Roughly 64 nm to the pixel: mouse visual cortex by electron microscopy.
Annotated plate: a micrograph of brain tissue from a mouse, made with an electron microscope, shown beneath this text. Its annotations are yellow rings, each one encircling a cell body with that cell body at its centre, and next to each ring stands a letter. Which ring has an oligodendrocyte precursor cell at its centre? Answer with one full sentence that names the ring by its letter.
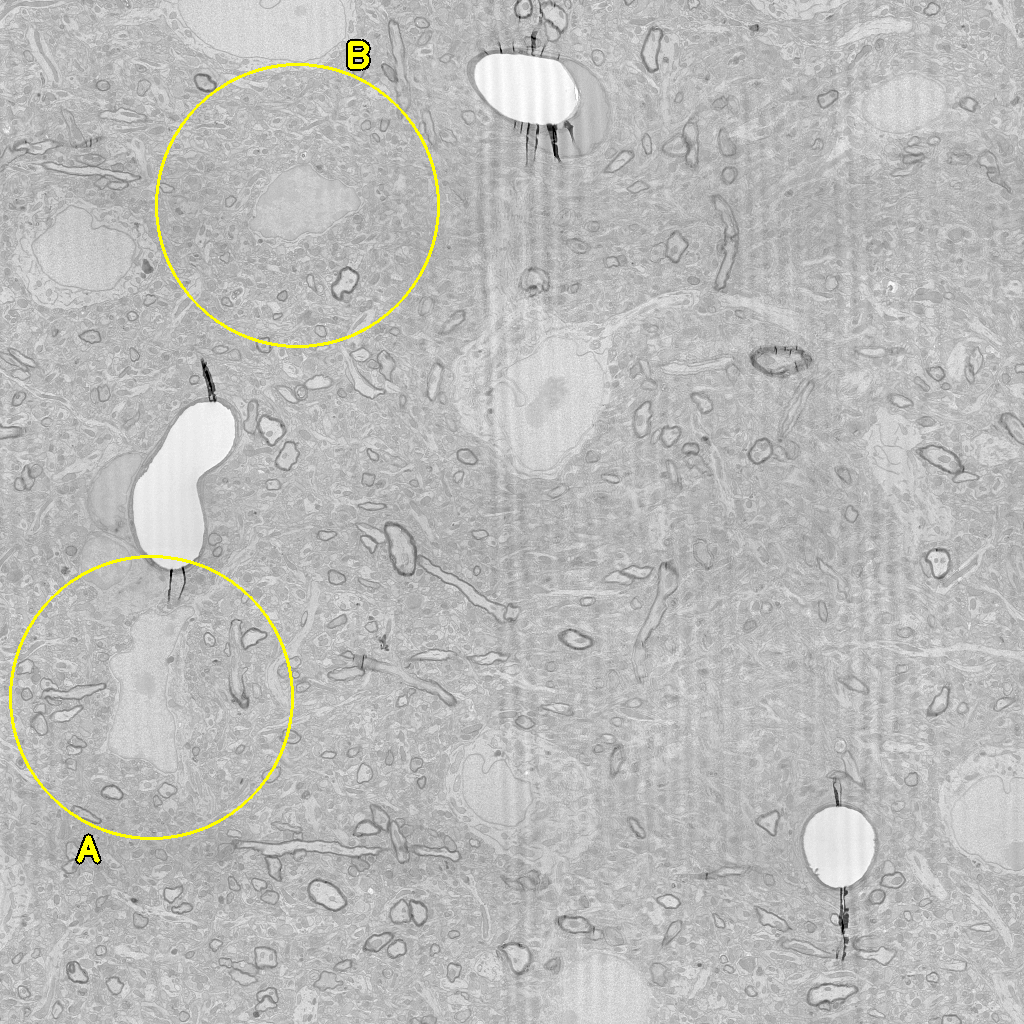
In the plate, ring A is the one centred on a cell of that kind.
